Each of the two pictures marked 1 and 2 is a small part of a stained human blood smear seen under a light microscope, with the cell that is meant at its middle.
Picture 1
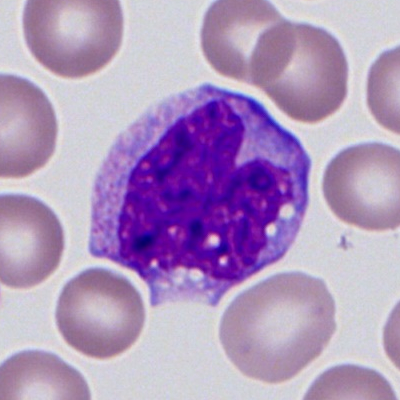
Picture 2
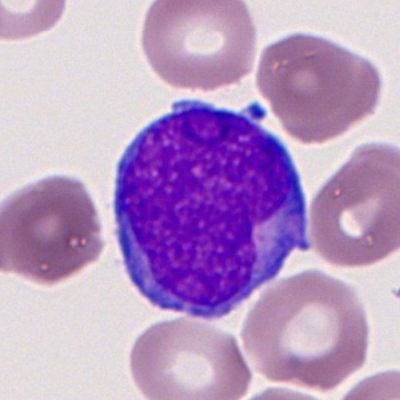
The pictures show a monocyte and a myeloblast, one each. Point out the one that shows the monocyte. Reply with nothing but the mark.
1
